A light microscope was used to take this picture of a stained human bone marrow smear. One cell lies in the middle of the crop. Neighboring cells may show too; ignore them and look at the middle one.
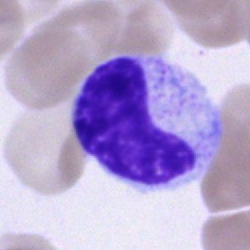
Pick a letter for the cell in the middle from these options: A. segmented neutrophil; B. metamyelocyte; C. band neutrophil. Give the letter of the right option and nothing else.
B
